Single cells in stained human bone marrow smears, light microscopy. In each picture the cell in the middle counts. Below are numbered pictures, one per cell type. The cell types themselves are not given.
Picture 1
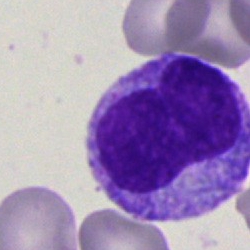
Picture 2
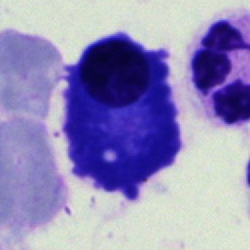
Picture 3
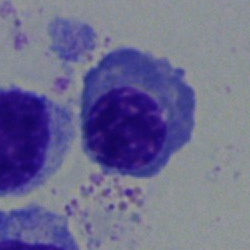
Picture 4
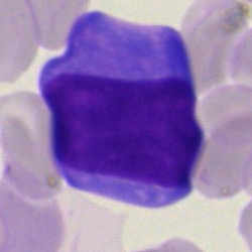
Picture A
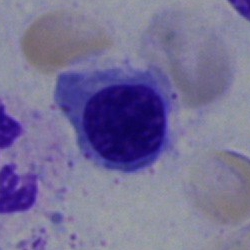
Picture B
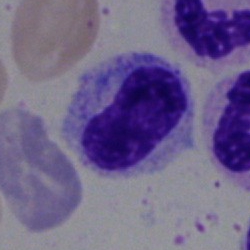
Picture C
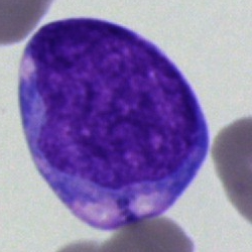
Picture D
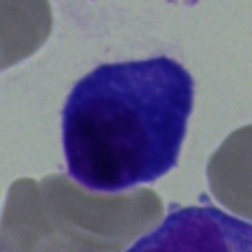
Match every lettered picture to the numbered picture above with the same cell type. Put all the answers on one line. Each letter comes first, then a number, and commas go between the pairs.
A 3, B 1, C 4, D 2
